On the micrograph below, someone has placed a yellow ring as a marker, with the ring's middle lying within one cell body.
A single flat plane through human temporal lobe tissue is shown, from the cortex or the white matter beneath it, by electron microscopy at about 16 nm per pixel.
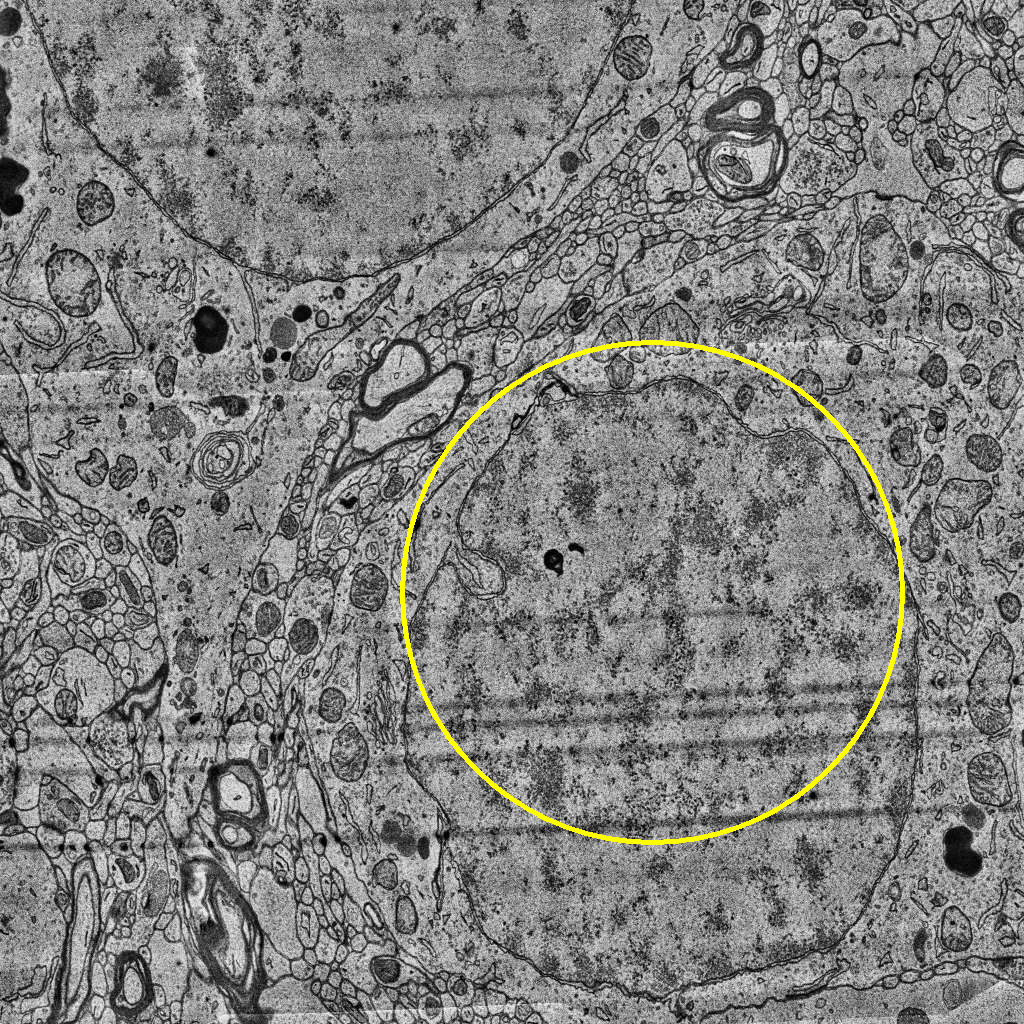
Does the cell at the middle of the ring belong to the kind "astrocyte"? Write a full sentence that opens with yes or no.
No, the micrograph shows another kind of cell at the ring's middle.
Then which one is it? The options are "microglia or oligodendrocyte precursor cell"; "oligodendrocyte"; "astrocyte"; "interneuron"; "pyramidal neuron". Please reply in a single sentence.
As it turns out, the cell at the ring centre is an interneuron.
